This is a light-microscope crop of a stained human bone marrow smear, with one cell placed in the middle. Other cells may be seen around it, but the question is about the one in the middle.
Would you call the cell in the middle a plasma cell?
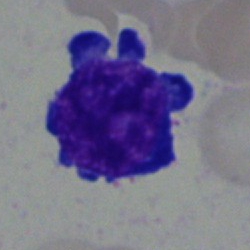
no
